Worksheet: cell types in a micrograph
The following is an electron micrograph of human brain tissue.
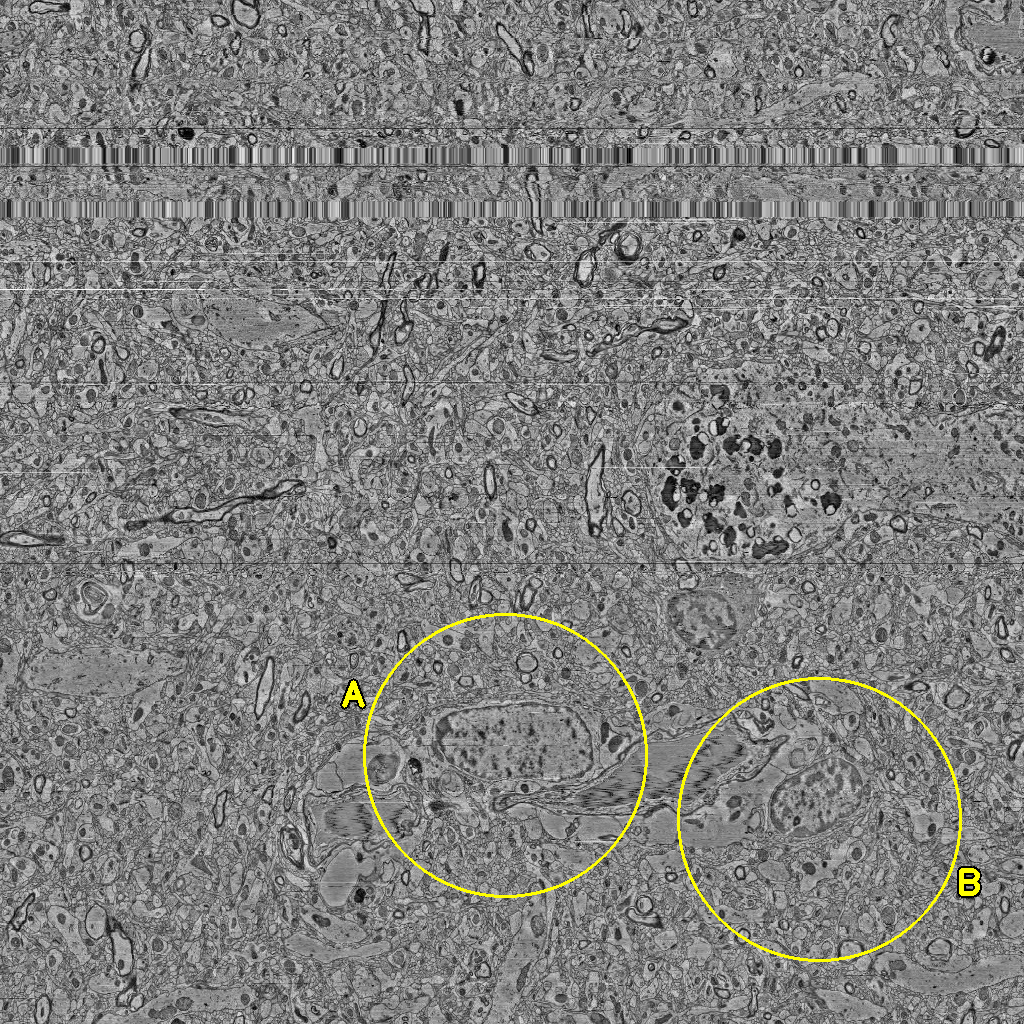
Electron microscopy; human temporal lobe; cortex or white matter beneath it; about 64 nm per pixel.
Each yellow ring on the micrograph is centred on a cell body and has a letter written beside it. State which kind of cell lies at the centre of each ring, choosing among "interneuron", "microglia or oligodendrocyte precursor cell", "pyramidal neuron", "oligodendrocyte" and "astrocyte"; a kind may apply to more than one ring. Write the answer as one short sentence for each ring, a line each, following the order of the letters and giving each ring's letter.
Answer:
Ring A has a microglial cell or oligodendrocyte precursor cell in its centre.
Ring B has an oligodendrocyte in its centre.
